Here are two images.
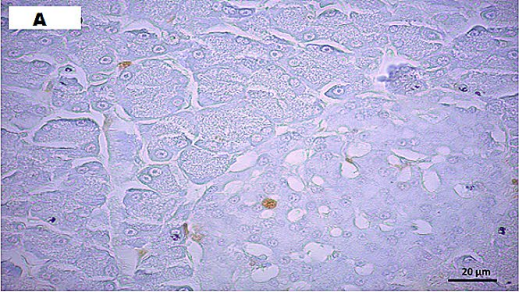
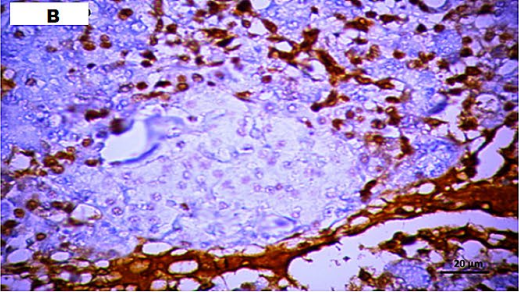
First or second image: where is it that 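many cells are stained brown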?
The second image.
